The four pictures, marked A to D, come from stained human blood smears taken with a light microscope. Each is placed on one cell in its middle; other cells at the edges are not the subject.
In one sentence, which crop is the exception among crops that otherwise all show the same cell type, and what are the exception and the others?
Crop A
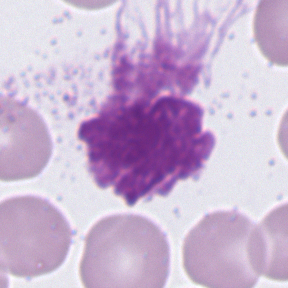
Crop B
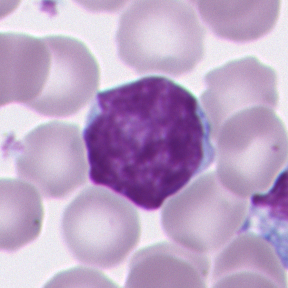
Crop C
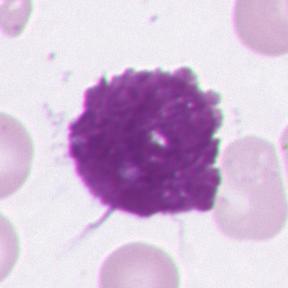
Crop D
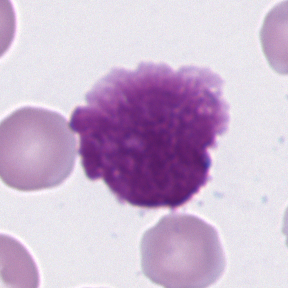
In this set the other crops all show smudge cells, and crop B shows a typical lymphocyte.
